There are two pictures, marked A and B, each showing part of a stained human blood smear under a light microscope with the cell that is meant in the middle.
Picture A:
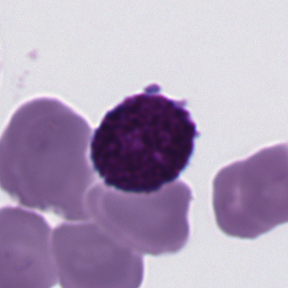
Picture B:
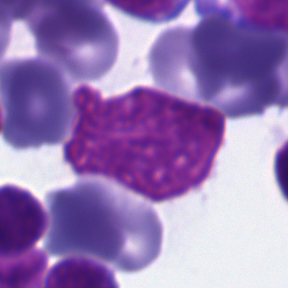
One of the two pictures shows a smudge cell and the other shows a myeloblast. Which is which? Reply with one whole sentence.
It is picture A that shows a myeloblast, and picture B that shows a smudge cell.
